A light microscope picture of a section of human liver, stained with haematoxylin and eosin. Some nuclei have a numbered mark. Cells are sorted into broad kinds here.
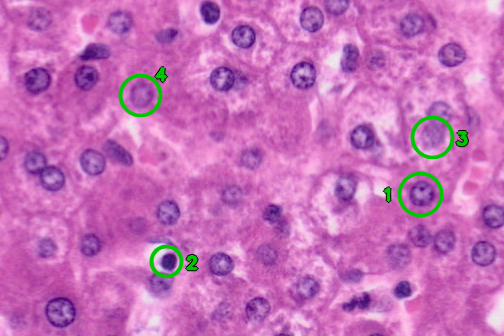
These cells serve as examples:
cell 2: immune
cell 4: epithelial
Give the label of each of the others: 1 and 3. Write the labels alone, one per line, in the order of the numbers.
epithelial
epithelial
